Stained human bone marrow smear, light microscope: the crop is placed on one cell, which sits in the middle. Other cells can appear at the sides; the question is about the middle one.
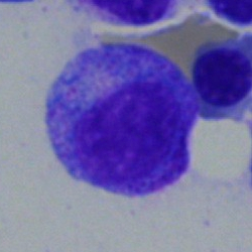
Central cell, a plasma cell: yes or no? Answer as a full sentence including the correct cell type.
No, the cell in the centre of the crop is a myelocyte as opposed to a plasma cell.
